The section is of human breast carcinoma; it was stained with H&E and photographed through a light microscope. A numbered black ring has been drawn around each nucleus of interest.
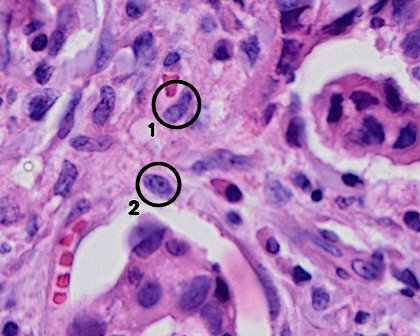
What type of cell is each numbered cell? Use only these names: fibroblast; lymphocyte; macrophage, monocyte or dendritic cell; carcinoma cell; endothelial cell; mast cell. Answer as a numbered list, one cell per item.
1. endothelial cell
2. mast cell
